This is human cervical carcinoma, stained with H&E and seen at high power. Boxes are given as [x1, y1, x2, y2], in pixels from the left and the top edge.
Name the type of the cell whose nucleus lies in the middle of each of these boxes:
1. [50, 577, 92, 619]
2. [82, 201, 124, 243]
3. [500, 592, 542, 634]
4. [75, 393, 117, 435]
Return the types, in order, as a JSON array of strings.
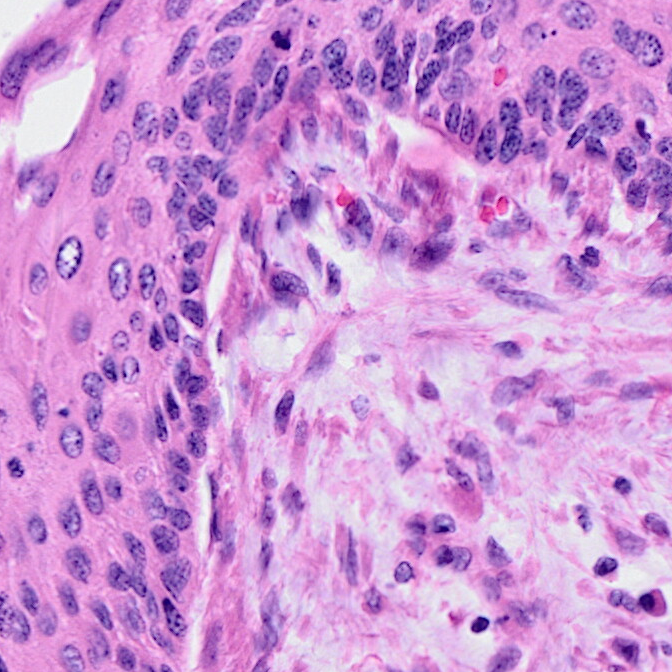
["squamous carcinoma cell", "squamous carcinoma cell", "endothelial cell", "squamous carcinoma cell"]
